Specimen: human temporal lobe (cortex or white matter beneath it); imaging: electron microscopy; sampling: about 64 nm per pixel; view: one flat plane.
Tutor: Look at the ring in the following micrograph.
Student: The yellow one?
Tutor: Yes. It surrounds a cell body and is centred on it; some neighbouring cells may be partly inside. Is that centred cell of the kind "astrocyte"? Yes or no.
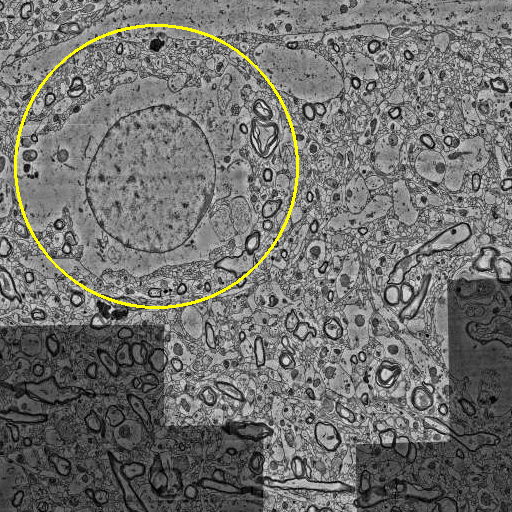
yes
